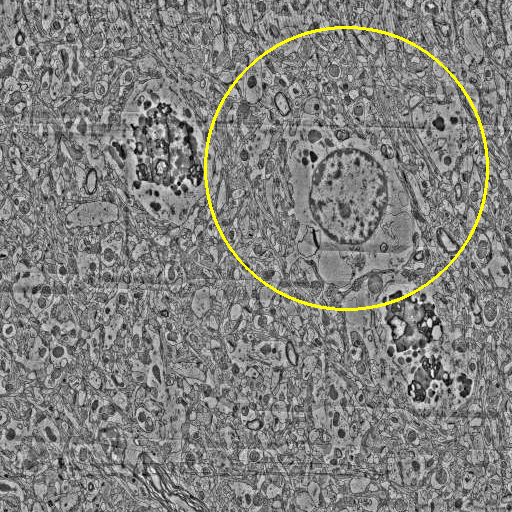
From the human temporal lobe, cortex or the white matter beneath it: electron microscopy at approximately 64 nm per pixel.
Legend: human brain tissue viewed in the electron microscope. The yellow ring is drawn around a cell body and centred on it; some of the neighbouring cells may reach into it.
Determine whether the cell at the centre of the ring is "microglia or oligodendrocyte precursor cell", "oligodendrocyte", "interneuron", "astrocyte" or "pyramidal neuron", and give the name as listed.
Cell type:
astrocyte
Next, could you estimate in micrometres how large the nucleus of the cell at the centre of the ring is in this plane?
The nucleus is approximately 6 micrometers long by 5 micrometers wide in this plane.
